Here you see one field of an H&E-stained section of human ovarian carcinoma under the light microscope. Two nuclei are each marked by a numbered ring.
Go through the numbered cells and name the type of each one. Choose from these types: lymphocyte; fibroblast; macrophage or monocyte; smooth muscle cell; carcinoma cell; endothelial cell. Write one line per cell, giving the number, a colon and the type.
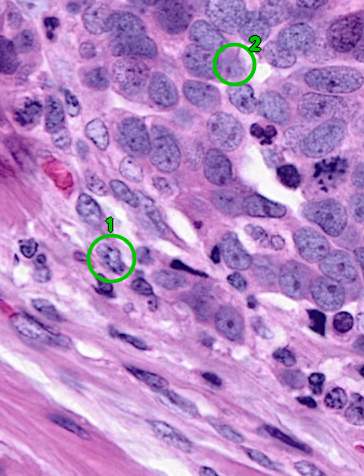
1: macrophage or monocyte
2: carcinoma cell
